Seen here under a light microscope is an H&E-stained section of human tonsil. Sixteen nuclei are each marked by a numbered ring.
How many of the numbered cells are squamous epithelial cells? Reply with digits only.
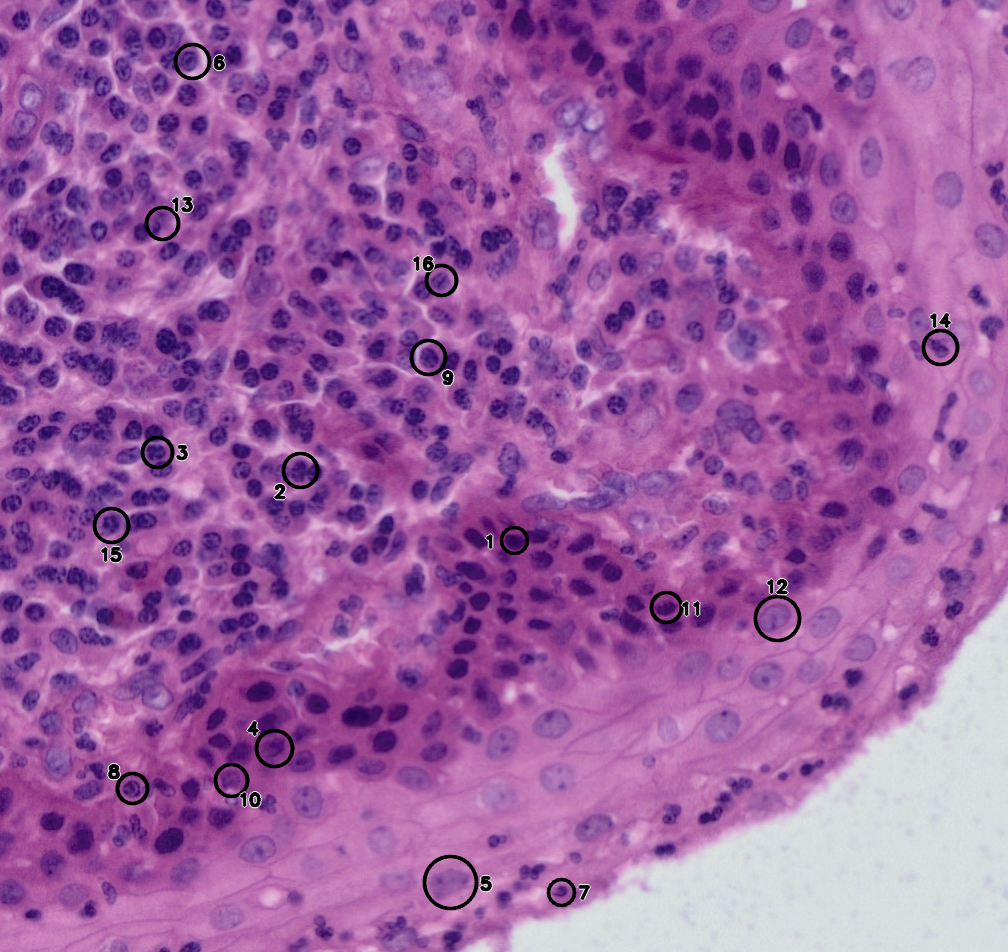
8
